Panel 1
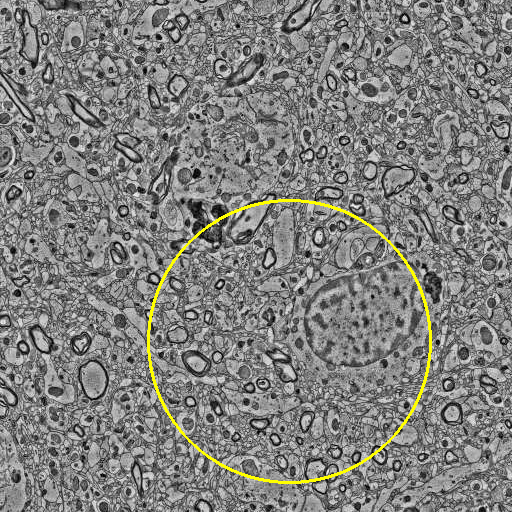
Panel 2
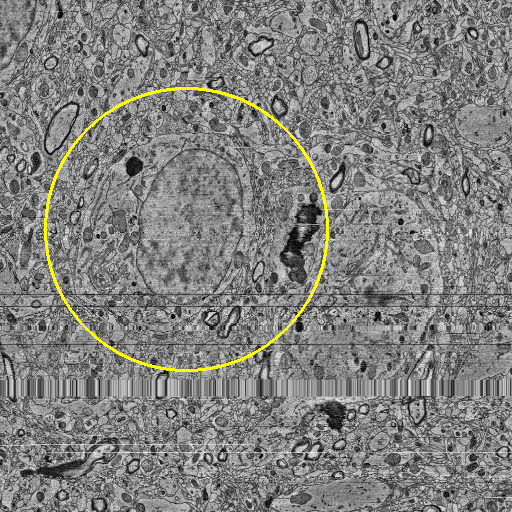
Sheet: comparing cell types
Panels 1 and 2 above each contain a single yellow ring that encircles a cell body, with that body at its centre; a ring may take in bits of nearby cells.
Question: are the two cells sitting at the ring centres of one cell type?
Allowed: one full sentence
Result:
No, the ring-centre cells in Panel 1 and Panel 2 are of two types.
